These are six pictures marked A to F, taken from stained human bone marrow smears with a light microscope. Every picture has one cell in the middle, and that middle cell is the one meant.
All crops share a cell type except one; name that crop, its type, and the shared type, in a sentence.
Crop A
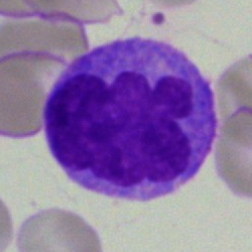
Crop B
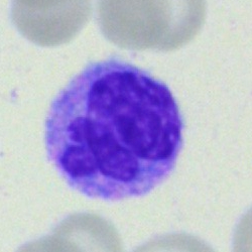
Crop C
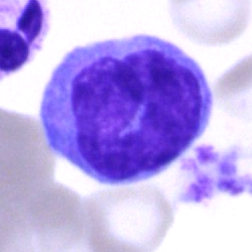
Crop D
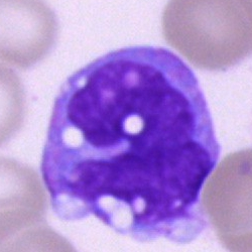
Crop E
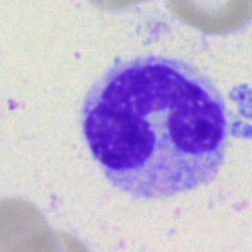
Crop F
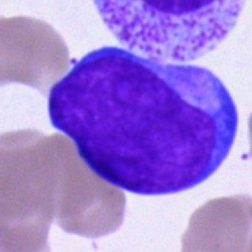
The exception is crop F, with a blast; the remaining crops all show monocytes.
